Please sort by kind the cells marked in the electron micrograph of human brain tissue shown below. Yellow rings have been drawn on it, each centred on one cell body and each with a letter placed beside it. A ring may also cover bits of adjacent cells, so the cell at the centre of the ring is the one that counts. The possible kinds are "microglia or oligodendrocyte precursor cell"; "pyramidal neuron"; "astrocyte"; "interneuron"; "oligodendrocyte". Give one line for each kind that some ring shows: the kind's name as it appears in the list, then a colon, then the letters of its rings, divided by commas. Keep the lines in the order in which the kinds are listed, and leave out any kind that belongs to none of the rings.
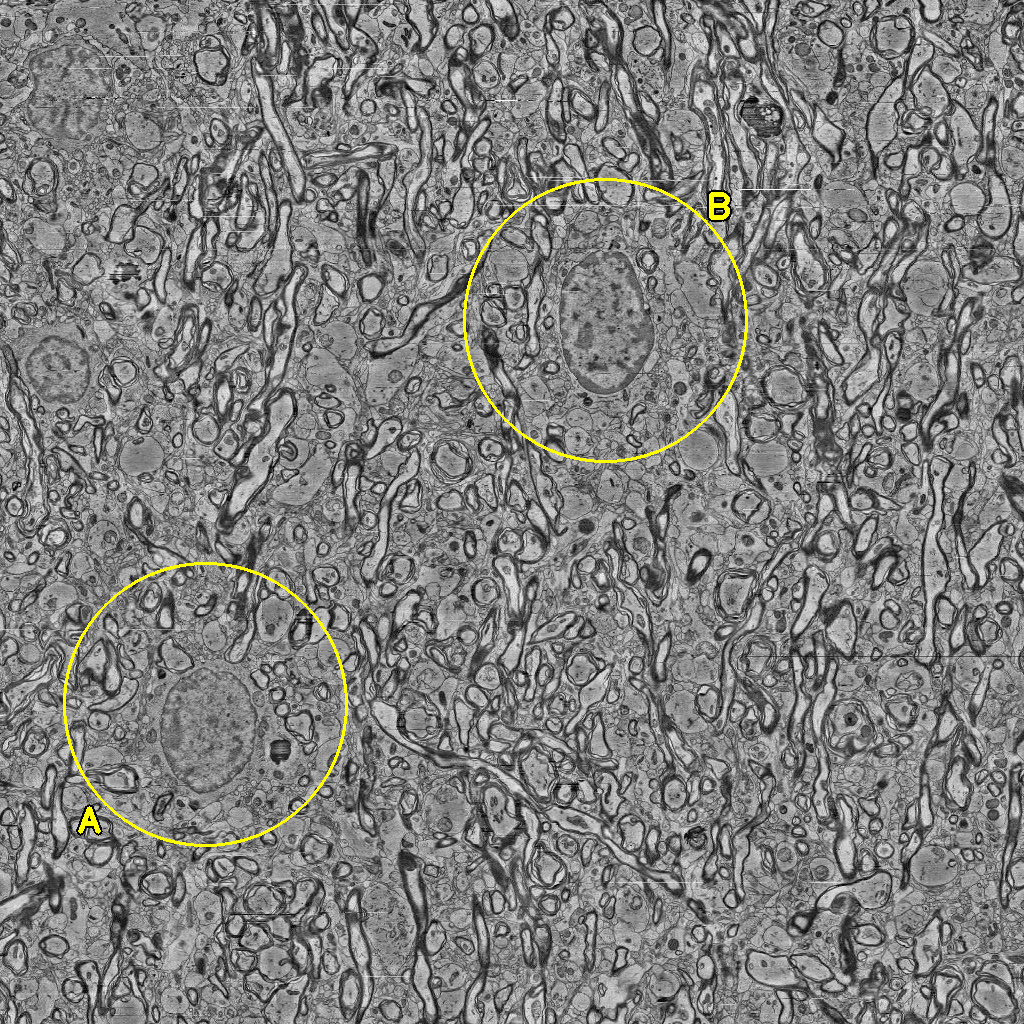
microglia or oligodendrocyte precursor cell: B
oligodendrocyte: A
